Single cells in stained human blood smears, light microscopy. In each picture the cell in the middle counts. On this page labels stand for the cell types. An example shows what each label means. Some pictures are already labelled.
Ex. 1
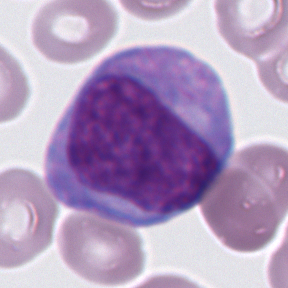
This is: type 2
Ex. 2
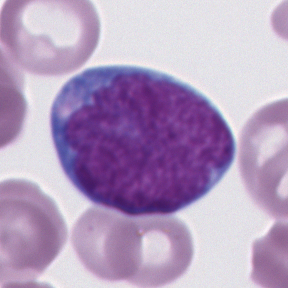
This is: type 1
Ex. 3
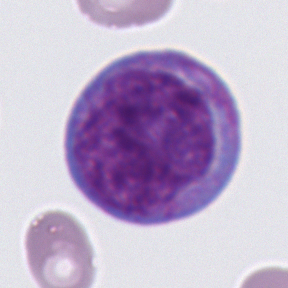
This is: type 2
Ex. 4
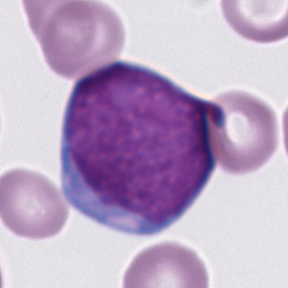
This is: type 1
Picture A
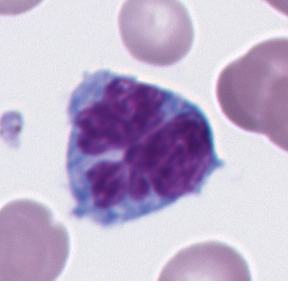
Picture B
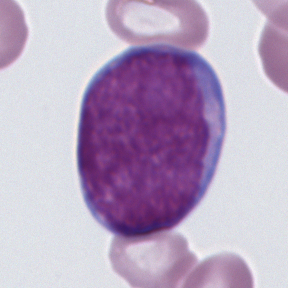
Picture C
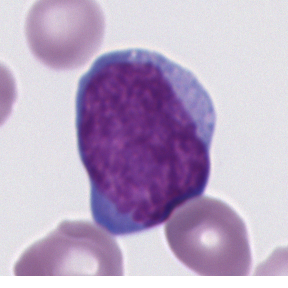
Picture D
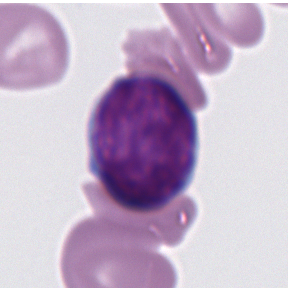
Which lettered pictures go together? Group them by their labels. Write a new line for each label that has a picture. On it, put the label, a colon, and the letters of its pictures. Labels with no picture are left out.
type 1: A, B, C, D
